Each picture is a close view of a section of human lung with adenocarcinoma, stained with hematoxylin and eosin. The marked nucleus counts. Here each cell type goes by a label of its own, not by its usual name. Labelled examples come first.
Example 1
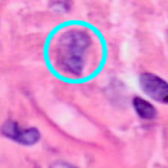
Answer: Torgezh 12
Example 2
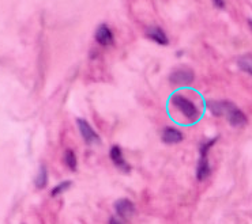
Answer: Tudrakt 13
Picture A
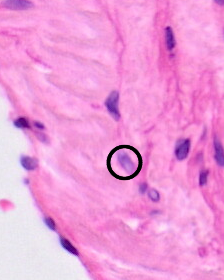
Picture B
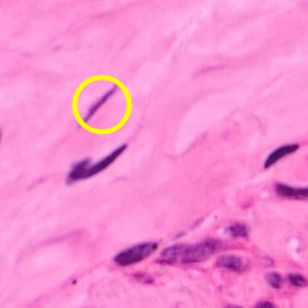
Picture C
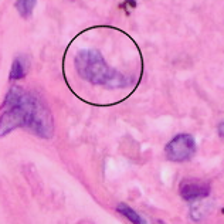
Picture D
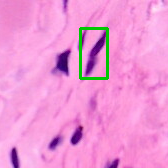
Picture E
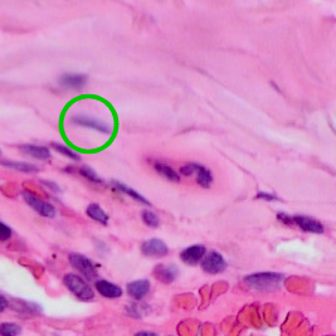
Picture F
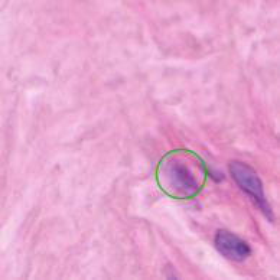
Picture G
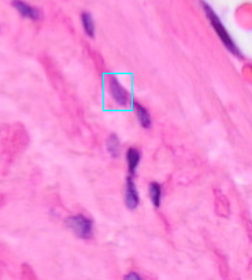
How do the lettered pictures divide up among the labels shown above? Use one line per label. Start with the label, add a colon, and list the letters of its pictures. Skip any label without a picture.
Torgezh 12: B, C, D, E
Tudrakt 13: A, F, G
